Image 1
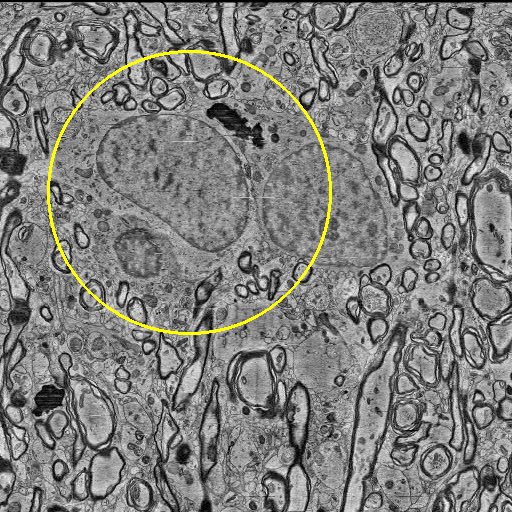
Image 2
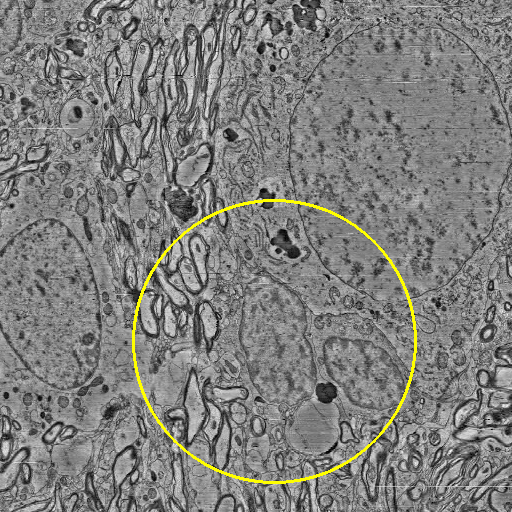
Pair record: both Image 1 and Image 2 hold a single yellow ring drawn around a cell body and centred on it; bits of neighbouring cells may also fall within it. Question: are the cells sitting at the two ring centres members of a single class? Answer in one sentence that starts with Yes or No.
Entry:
No, the ring-centre cells in Image 1 and Image 2 come from two classes.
